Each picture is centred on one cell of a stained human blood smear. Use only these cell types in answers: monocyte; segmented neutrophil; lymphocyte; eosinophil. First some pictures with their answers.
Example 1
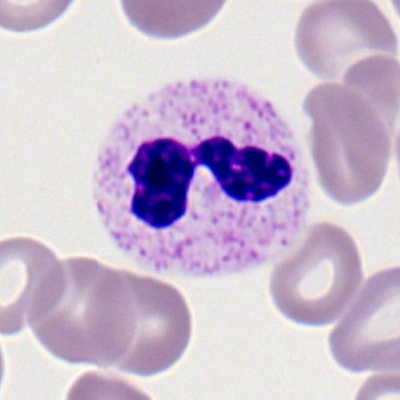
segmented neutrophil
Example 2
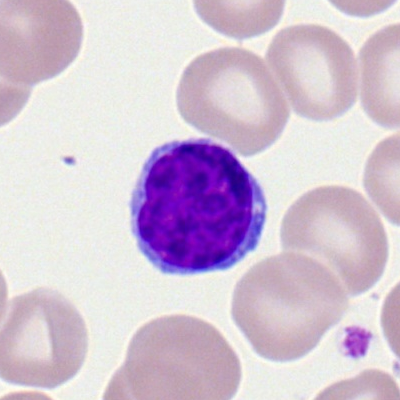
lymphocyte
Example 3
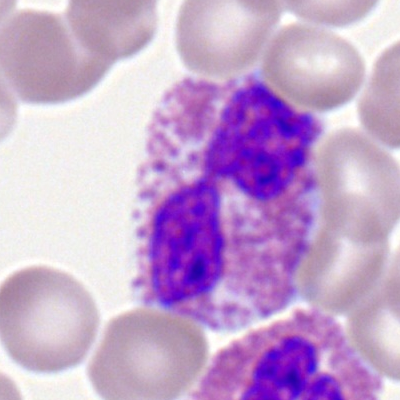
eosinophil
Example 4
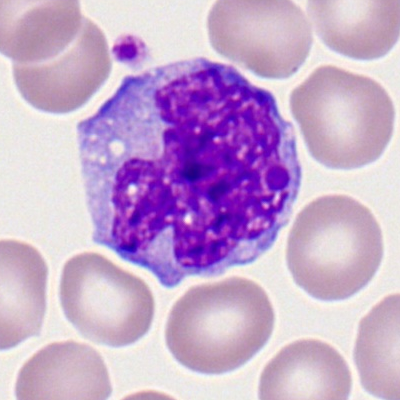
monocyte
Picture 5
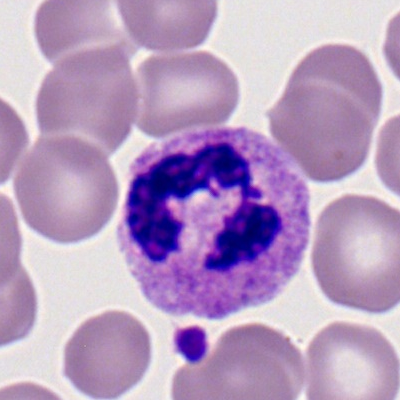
segmented neutrophil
